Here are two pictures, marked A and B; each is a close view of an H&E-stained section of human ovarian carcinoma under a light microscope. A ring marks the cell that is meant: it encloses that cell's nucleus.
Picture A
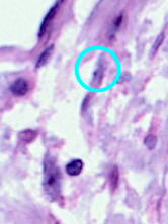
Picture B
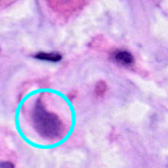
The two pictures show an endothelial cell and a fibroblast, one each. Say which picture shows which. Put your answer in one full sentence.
Picture A is of a fibroblast, and picture B is of an endothelial cell.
